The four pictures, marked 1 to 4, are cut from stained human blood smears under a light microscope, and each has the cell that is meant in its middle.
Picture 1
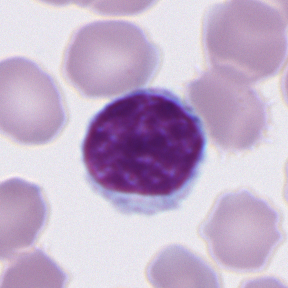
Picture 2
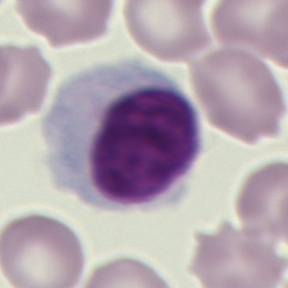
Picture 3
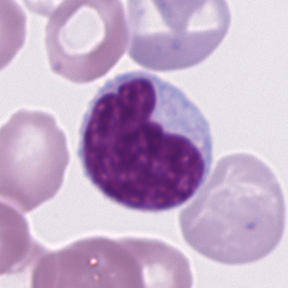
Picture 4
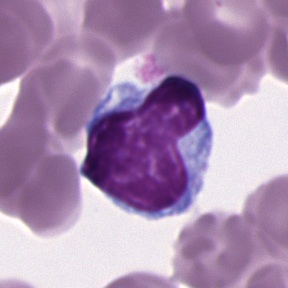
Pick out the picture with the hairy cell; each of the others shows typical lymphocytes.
2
